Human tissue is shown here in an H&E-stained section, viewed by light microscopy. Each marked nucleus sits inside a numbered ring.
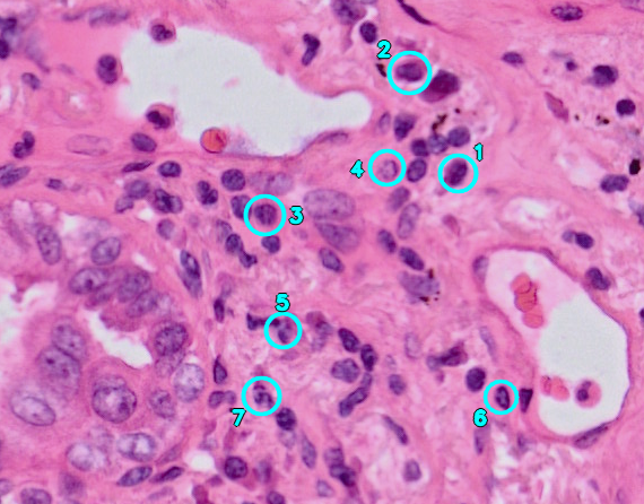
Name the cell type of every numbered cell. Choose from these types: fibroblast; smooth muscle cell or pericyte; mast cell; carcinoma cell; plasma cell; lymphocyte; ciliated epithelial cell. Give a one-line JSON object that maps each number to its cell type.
{"1": "plasma cell", "2": "plasma cell", "3": "lymphocyte", "4": "mast cell", "5": "plasma cell", "6": "mast cell", "7": "plasma cell"}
